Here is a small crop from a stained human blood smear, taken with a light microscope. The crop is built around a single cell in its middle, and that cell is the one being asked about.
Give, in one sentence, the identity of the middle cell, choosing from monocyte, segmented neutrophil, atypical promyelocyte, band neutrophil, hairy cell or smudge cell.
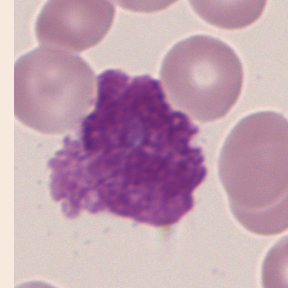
The centrally positioned cell in the crop represents a smudge cell.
